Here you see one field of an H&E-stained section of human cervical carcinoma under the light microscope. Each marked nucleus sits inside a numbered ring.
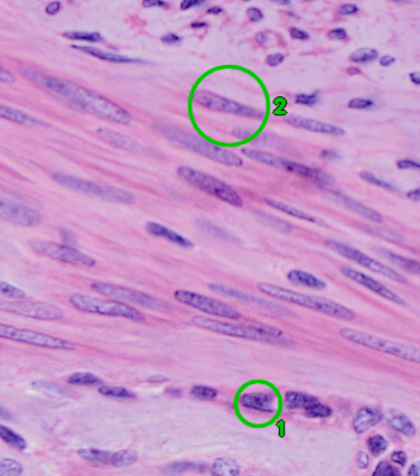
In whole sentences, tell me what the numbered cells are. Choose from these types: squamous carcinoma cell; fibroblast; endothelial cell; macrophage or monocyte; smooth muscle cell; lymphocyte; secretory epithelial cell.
Cell 1 is an endothelial cell. Cell 2 is a smooth muscle cell.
